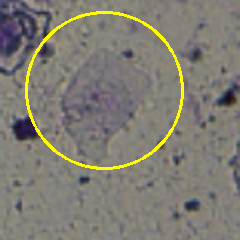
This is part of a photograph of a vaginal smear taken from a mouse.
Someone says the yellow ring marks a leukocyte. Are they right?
They are not: the ring marks a cornified epithelial cell.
